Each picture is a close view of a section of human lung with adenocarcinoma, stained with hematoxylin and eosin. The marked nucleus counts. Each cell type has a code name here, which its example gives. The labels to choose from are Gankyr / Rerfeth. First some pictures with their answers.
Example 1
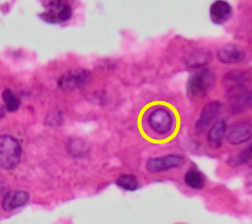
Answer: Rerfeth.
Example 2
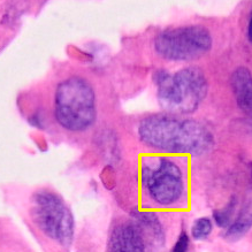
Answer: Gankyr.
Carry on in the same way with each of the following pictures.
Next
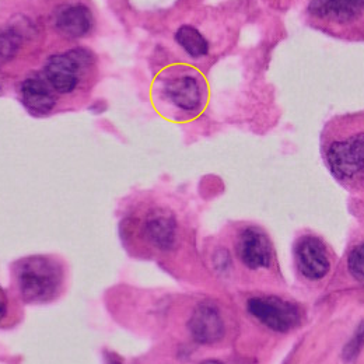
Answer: Rerfeth.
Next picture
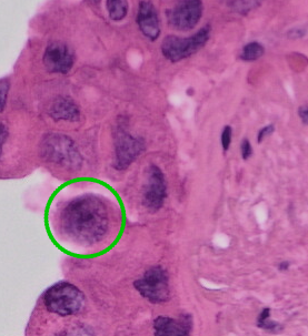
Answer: Gankyr.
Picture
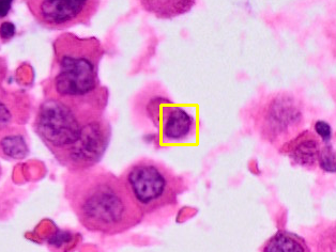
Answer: Rerfeth.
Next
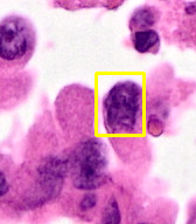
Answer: Gankyr.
